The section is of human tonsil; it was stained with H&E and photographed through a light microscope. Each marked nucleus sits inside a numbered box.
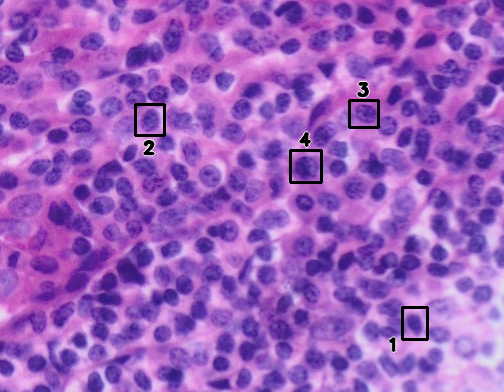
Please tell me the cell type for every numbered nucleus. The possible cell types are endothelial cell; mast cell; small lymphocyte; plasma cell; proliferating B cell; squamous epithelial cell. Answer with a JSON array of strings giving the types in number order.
["small lymphocyte", "plasma cell", "plasma cell", "plasma cell"]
